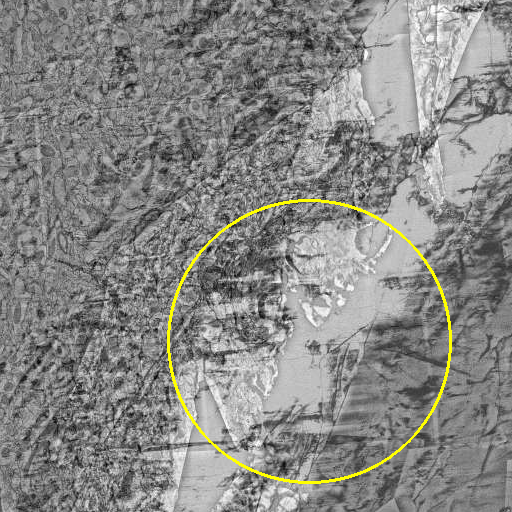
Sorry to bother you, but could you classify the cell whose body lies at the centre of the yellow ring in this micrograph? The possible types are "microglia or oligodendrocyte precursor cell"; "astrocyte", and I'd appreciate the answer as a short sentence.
The ringed cell body is that of an astrocyte.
